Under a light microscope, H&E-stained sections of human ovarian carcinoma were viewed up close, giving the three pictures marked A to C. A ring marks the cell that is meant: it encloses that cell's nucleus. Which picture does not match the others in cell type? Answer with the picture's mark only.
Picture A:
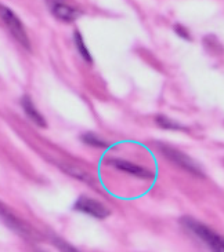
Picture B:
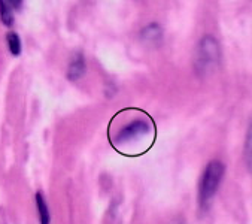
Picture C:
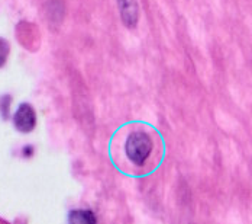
C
